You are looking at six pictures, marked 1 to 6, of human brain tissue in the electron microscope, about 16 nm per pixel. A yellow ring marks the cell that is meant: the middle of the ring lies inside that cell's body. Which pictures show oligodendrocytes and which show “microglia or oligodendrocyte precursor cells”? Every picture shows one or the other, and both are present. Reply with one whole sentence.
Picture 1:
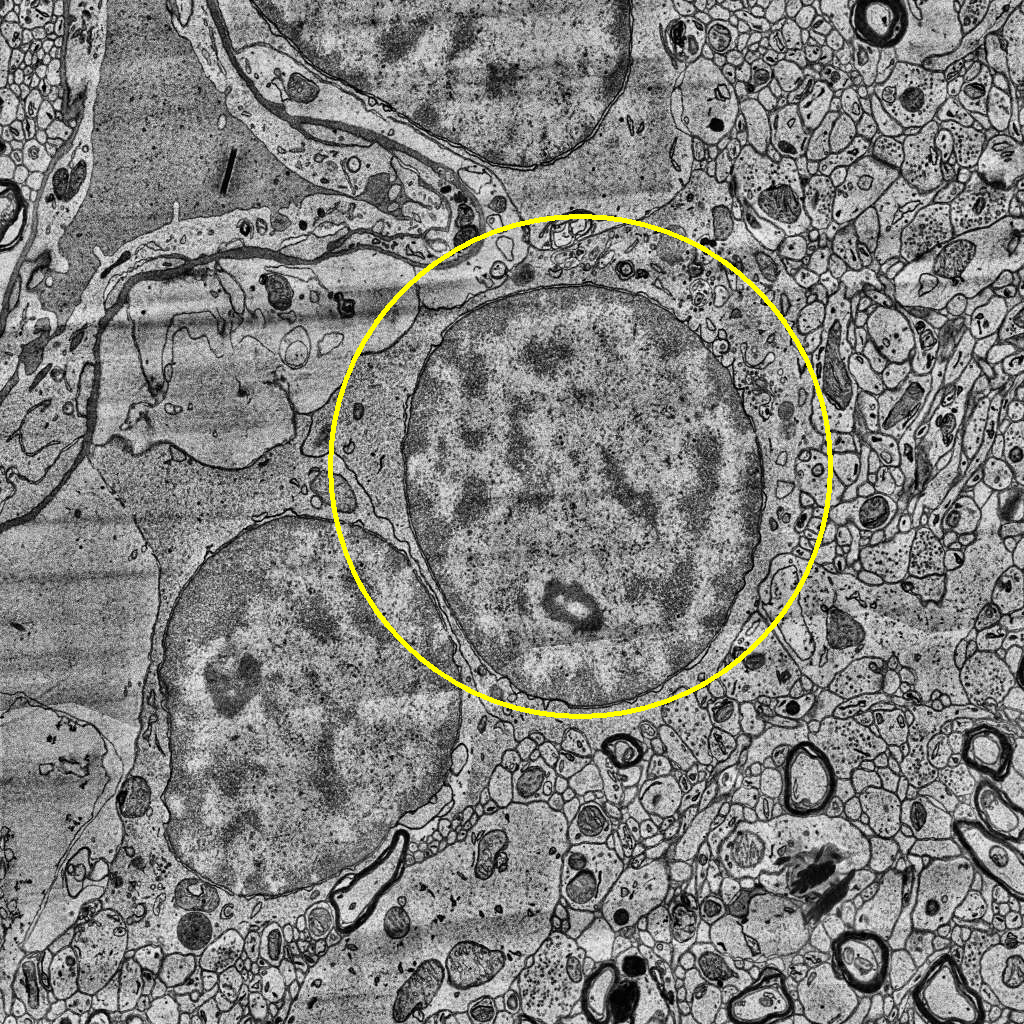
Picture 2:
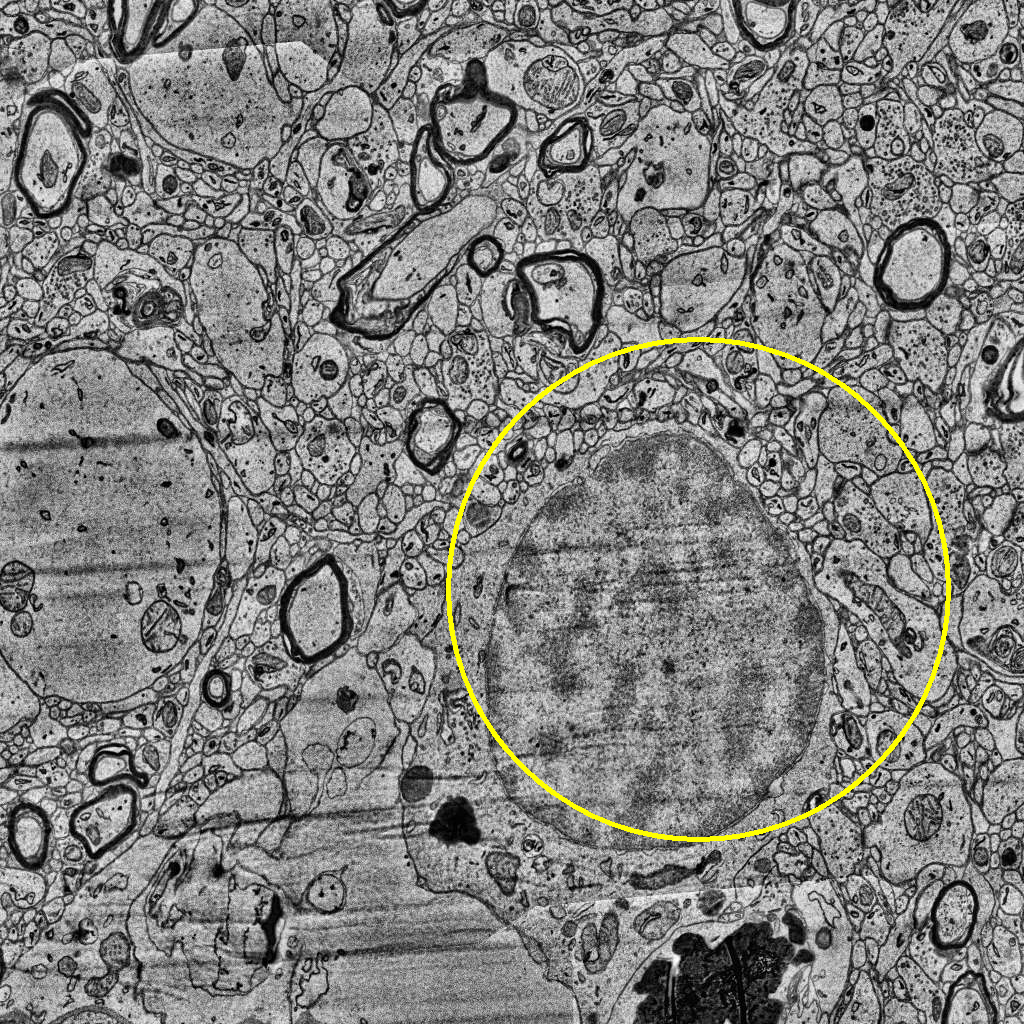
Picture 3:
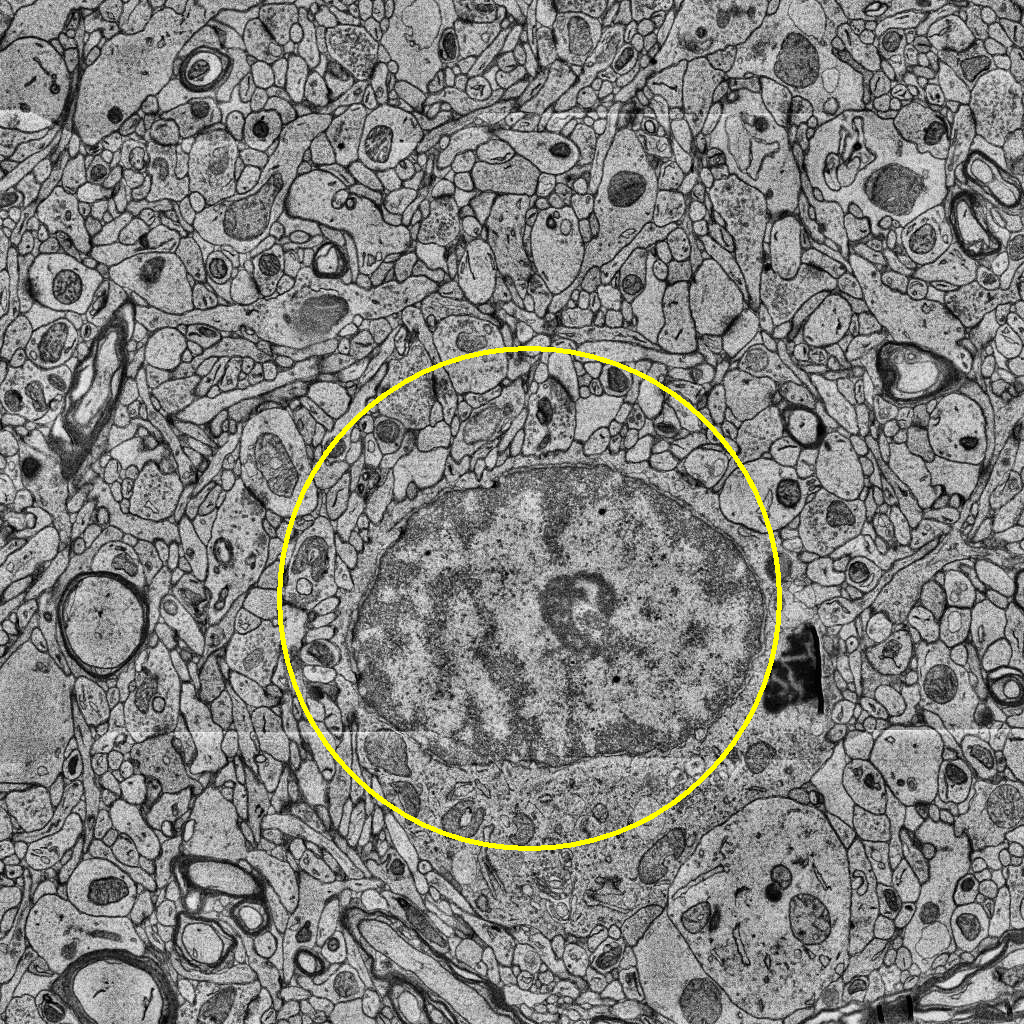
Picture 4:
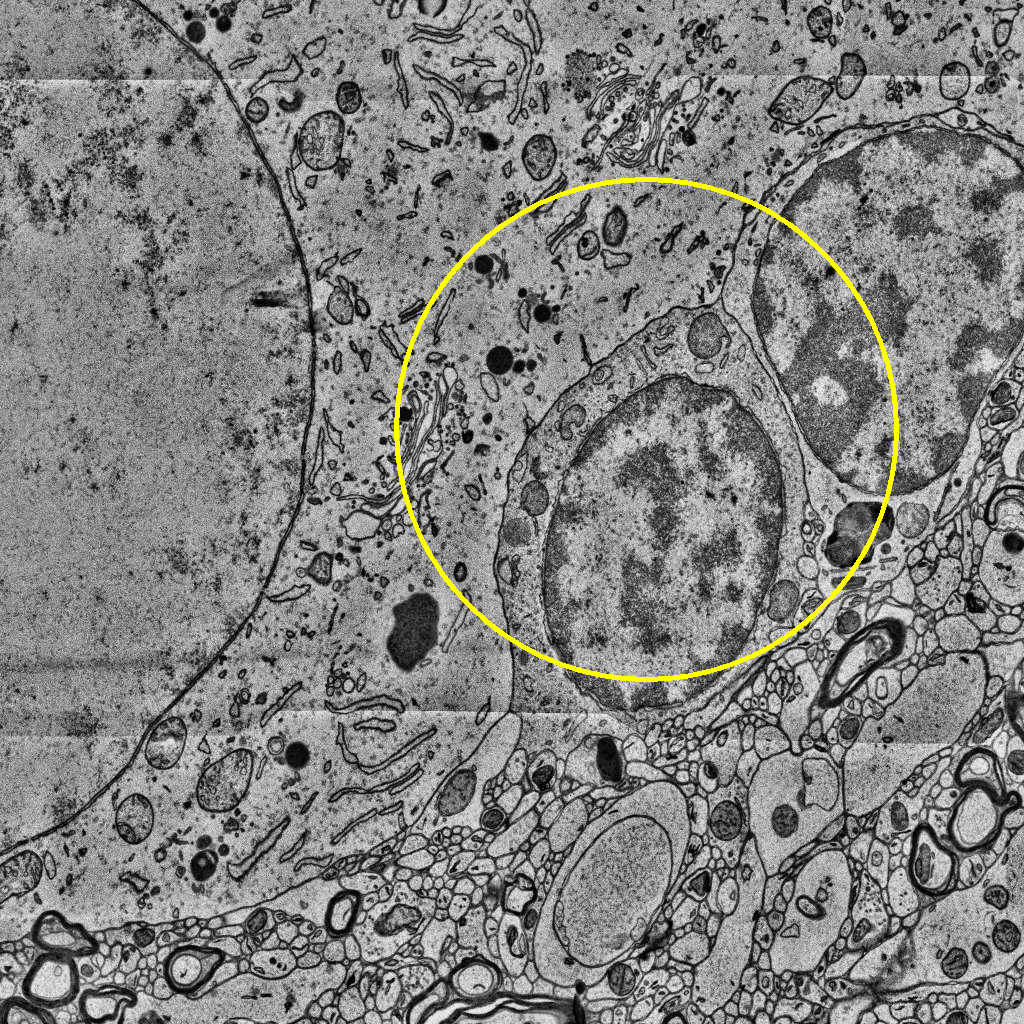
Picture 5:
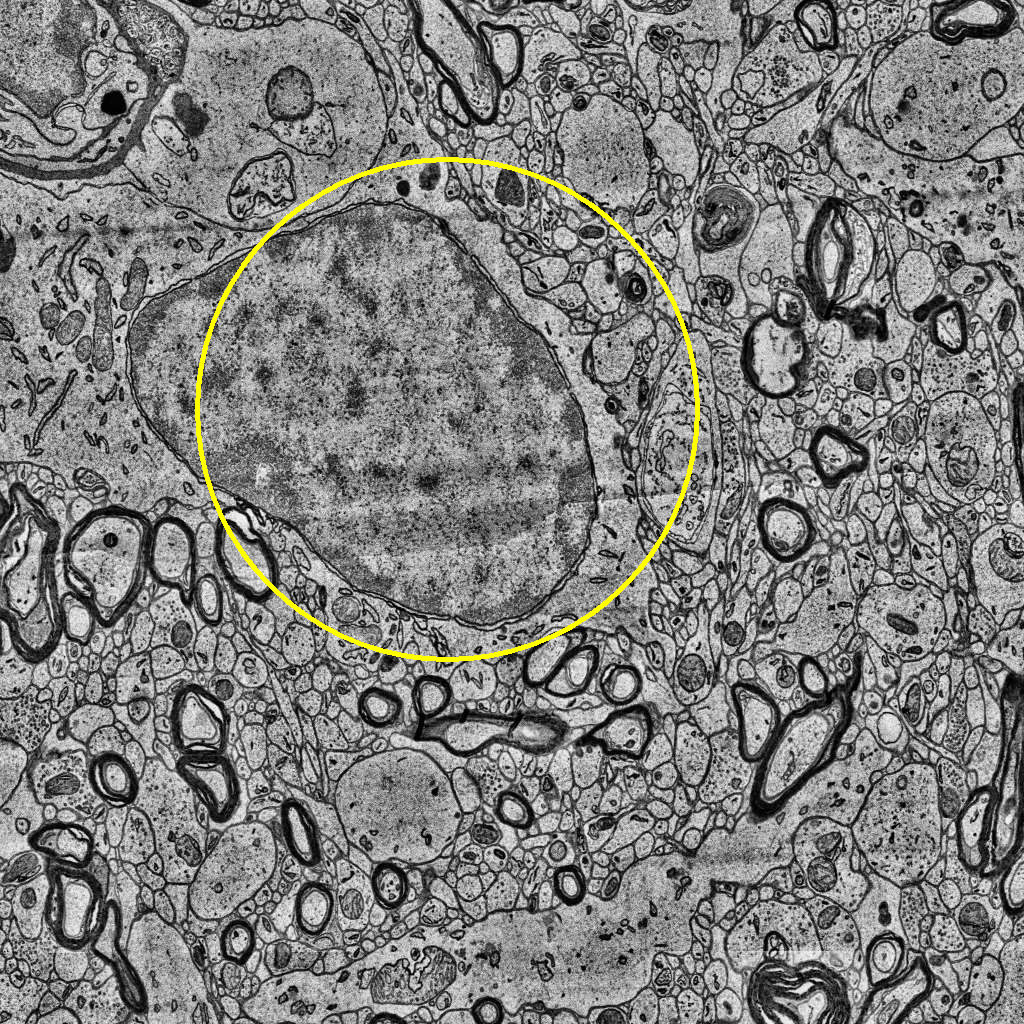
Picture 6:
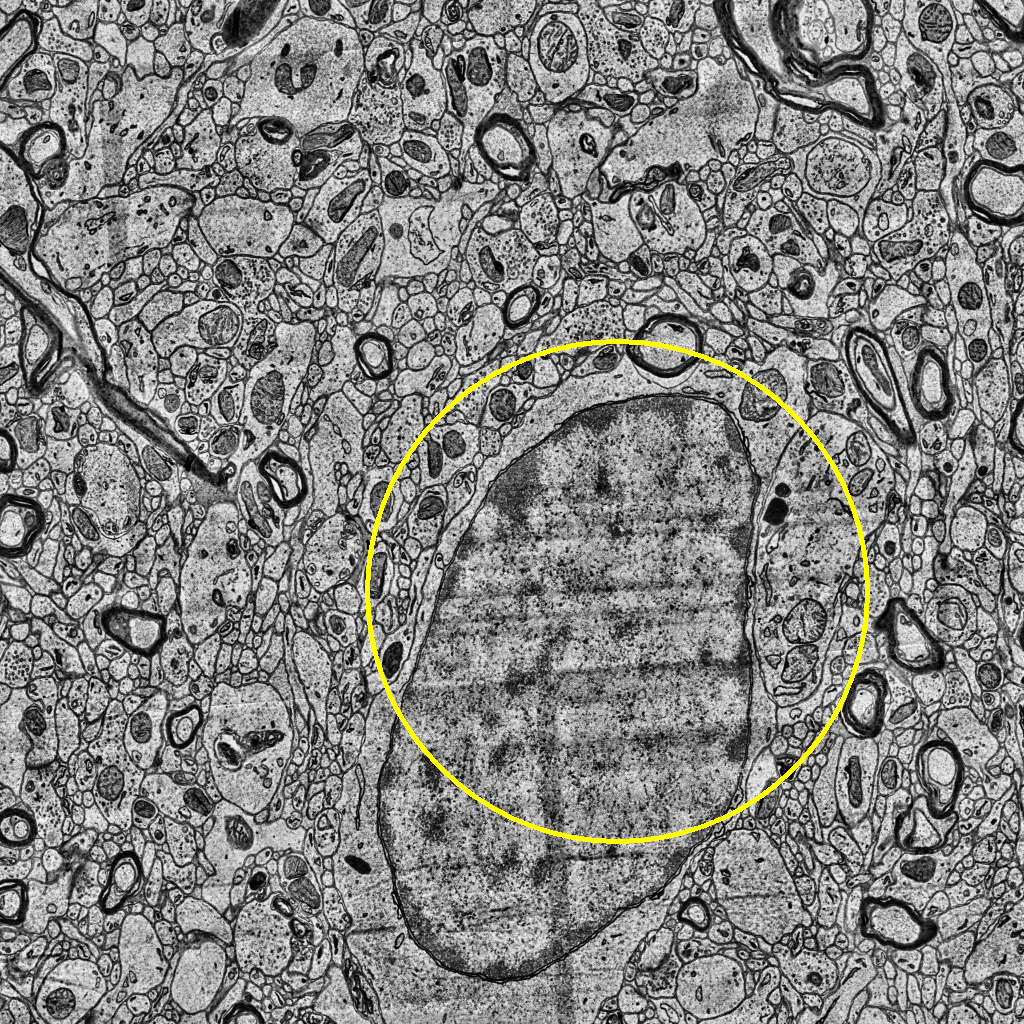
Pictures 1, 2, 3 and 4 show oligodendrocytes; pictures 5 and 6 show “microglia or oligodendrocyte precursor cells”.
